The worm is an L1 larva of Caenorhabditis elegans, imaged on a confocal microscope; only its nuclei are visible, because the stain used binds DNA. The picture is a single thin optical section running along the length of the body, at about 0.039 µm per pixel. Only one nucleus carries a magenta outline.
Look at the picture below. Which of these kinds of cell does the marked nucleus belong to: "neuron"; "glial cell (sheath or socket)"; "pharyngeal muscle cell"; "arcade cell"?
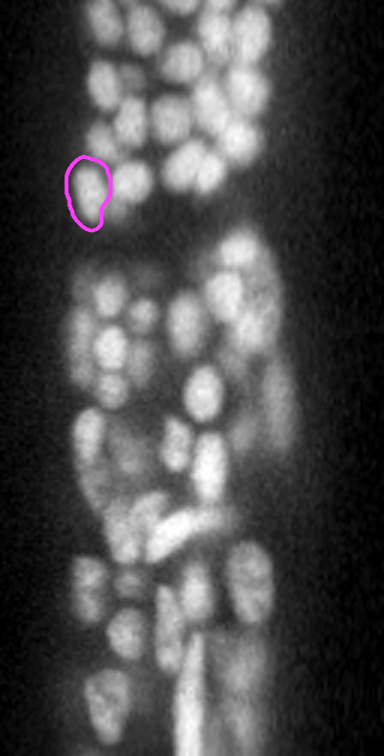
neuron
